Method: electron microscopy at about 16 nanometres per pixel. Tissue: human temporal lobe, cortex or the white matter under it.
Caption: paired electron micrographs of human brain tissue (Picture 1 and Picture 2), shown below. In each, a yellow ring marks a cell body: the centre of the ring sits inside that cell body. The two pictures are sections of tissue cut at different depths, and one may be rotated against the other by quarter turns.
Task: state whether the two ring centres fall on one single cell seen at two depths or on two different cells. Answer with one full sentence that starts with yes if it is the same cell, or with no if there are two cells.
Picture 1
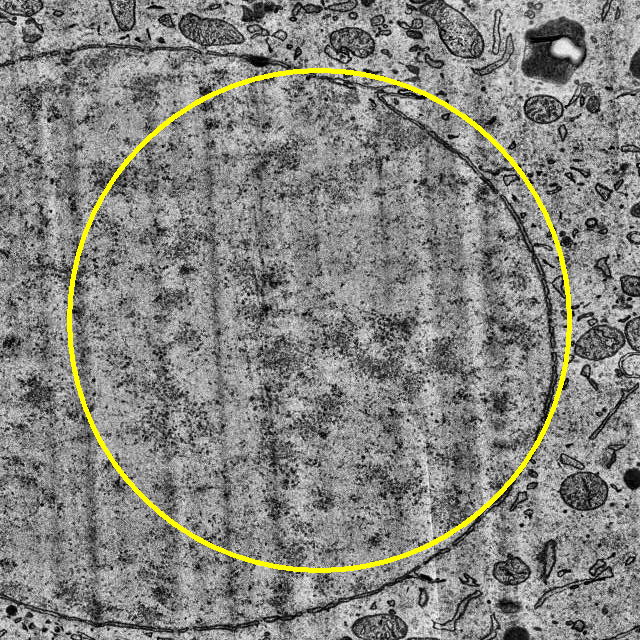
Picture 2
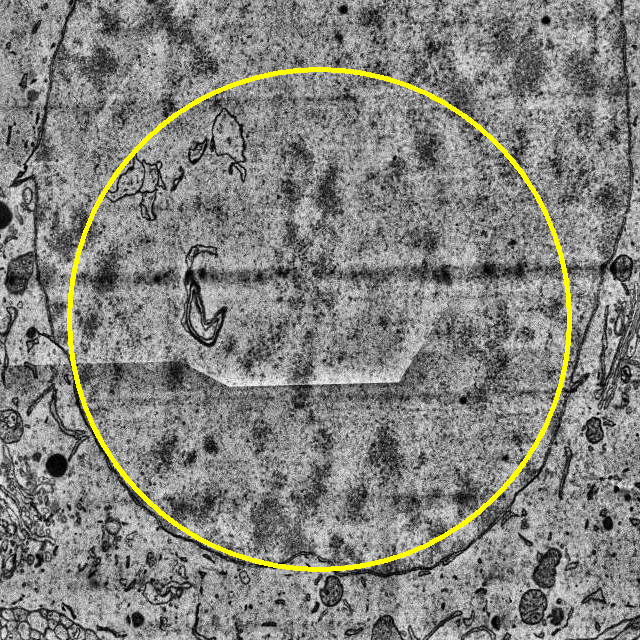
No, the two rings were placed on two different cells.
